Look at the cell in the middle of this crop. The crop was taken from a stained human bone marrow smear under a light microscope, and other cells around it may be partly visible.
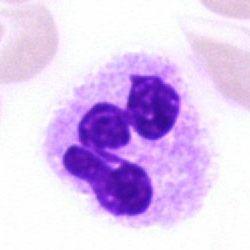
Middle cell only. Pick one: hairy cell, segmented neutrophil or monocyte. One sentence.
In the crop, the cell of interest at the centre is a segmented neutrophil.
